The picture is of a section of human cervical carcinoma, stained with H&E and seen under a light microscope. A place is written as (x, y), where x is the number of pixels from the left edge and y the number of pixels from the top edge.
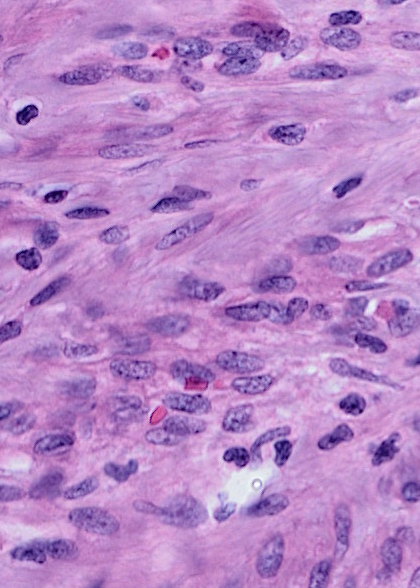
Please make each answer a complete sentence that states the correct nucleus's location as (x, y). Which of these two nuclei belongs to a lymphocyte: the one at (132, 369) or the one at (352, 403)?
Among the two nuclei, the one found at (352, 403) belongs to a lymphocyte.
